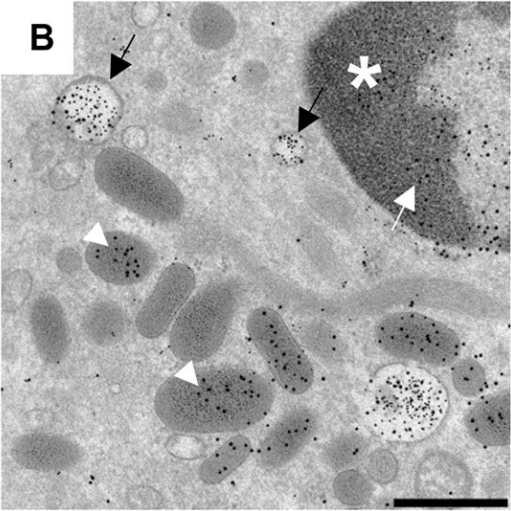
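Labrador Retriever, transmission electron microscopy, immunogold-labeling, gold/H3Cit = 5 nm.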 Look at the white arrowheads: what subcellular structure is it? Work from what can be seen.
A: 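Neutrophil granules. Arrowheads point to oval to elongated, homogeneous dark grey bodies in the cytoplasm. Many similar bodies are scattered through the cytoplasm.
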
